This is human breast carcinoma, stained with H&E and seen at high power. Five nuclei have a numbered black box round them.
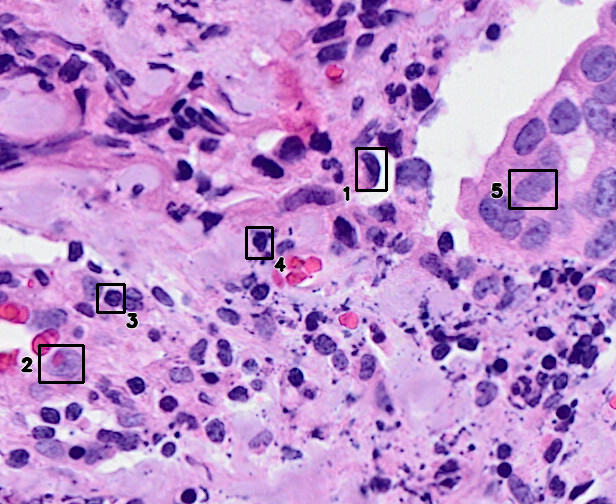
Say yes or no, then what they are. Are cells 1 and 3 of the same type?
No, cell 1 is a carcinoma cell and cell 3 is a lymphocyte.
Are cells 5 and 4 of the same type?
No, cell 5 is a carcinoma cell and cell 4 is a lymphocyte.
